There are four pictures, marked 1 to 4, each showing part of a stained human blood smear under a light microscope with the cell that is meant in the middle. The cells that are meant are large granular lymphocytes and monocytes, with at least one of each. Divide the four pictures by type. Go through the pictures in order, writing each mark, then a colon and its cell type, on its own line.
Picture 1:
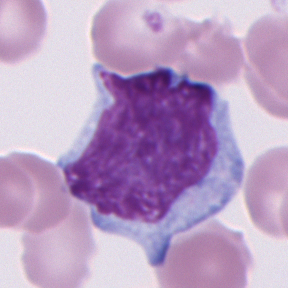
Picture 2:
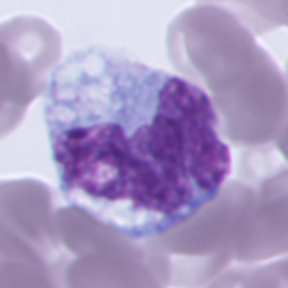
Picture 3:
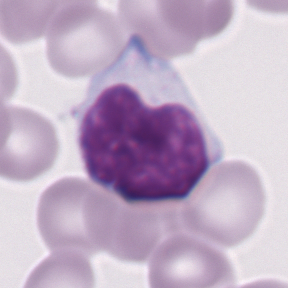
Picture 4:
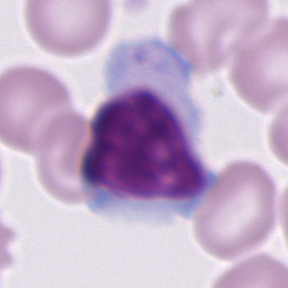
1: monocyte
2: monocyte
3: large granular lymphocyte
4: large granular lymphocyte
